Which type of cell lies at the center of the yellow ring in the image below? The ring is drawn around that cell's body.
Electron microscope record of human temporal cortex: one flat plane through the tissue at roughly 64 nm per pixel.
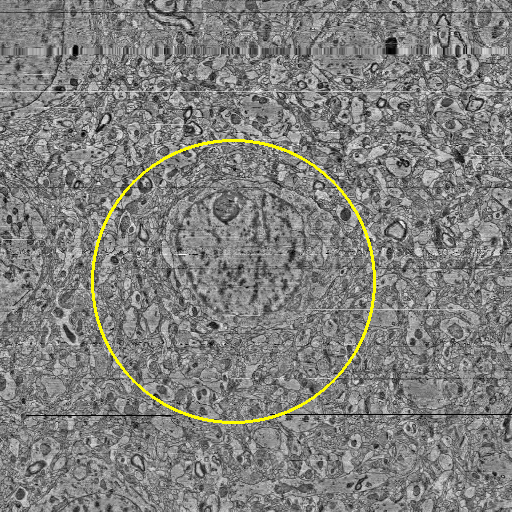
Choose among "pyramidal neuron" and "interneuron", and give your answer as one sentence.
The cell body at the center belongs to an interneuron.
